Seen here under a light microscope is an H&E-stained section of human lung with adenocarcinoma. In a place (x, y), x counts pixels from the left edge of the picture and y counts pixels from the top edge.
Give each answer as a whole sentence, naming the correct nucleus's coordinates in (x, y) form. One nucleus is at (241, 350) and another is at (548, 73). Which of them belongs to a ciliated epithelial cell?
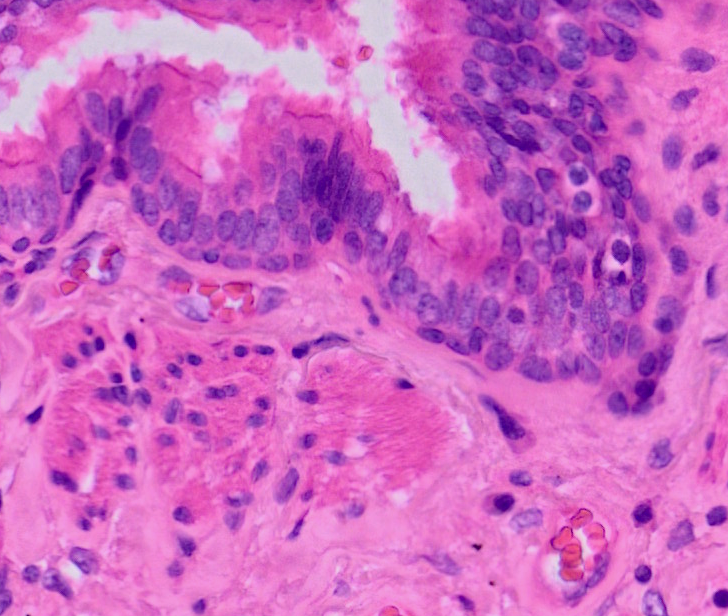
The nucleus found at (548, 73) belongs to a ciliated epithelial cell.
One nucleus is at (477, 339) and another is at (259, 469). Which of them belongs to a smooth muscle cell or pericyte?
The nucleus at (259, 469) is contained in a smooth muscle cell or pericyte.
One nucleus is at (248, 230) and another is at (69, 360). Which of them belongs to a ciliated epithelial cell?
The nucleus contained in a ciliated epithelial cell is the one at (248, 230).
